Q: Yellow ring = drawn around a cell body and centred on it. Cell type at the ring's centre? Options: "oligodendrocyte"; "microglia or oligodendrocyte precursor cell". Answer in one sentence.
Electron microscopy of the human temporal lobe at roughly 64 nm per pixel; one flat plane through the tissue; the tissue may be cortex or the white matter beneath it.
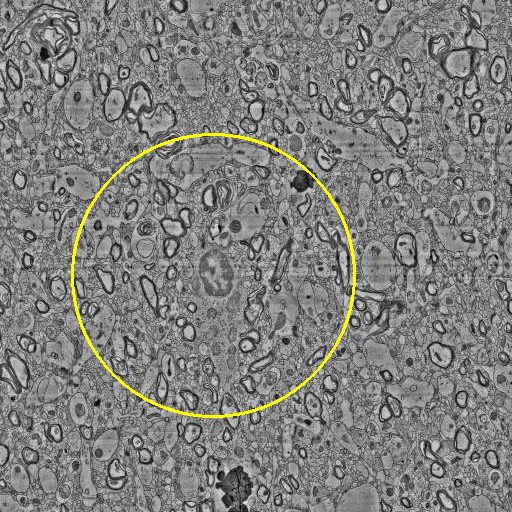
Centred in the ring is an oligodendrocyte.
